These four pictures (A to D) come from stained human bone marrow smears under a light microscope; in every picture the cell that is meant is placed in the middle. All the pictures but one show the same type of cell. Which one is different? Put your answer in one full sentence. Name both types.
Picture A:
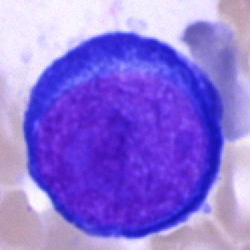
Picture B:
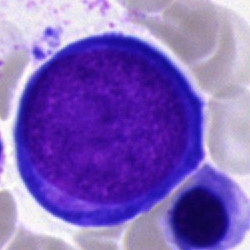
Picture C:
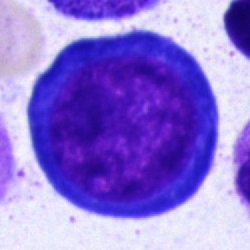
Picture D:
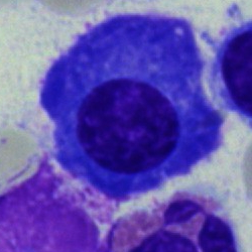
Picture D differs, because its cell is a plasma cell and the rest are proerythroblasts.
